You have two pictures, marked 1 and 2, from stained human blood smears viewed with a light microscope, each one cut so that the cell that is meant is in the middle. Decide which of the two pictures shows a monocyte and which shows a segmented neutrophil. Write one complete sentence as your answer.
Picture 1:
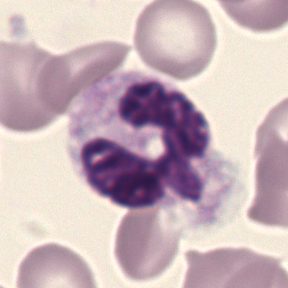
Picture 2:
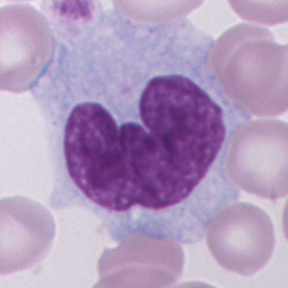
Picture 2 shows a monocyte, while picture 1 shows a segmented neutrophil.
